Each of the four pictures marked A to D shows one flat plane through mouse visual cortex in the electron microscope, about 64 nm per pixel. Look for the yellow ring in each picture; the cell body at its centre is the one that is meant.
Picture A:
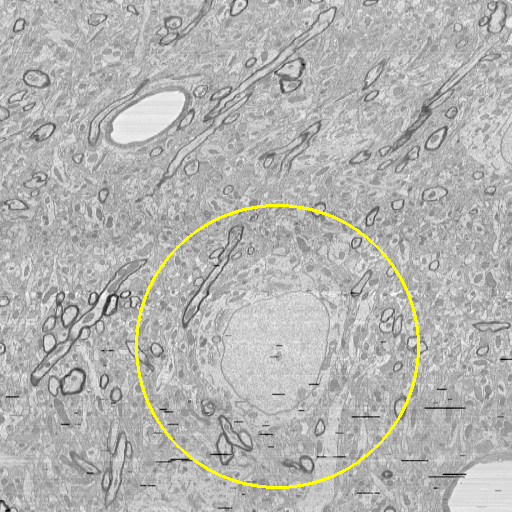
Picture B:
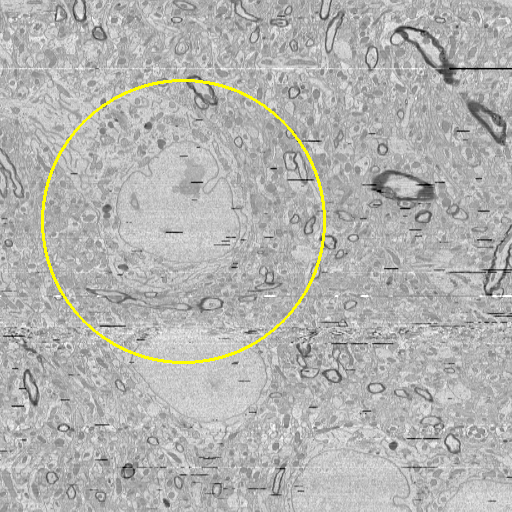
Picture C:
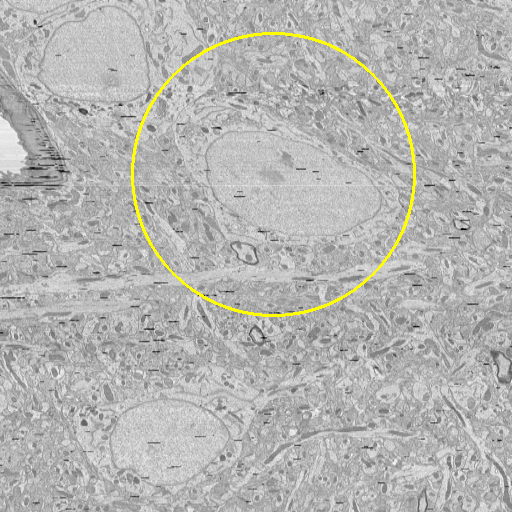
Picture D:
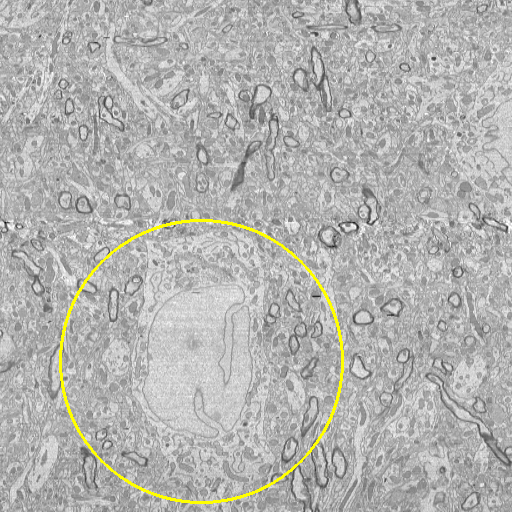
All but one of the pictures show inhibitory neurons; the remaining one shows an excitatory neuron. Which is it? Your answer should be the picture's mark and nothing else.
A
